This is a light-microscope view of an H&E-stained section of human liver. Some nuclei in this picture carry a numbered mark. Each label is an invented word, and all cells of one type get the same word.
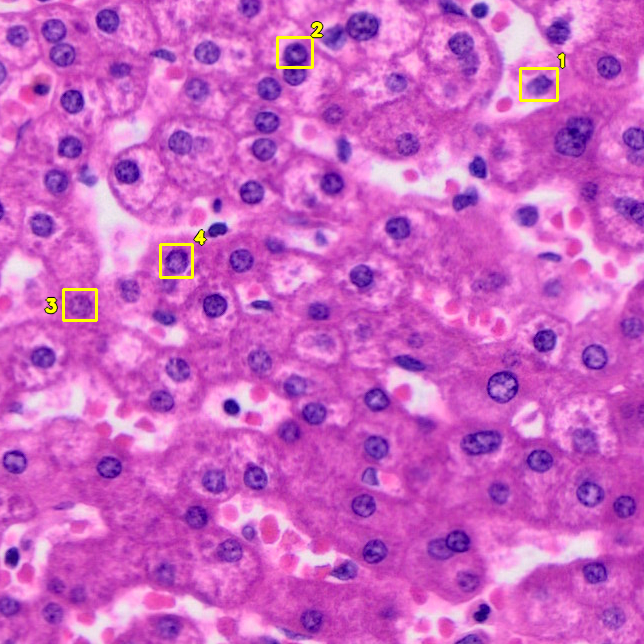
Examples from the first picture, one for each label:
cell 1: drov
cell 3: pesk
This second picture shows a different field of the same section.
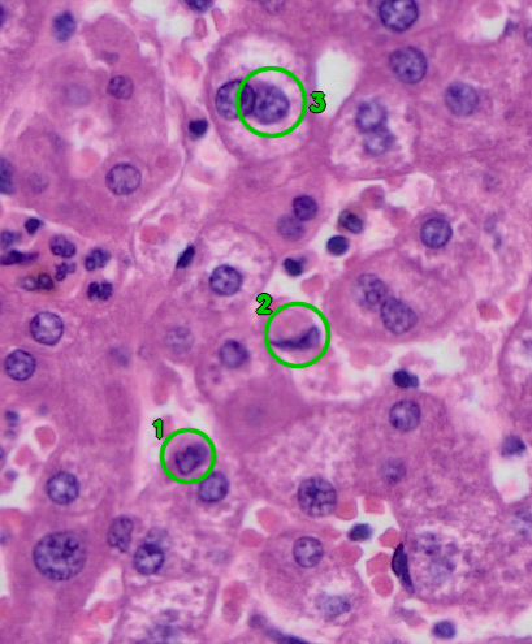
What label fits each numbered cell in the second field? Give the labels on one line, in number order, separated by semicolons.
drov; drov; pesk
